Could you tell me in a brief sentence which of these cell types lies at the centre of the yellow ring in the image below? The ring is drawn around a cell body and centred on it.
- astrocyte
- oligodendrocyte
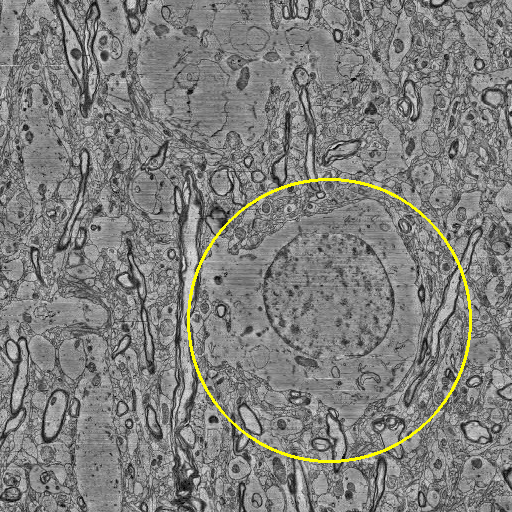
The cell centred in the ring is an astrocyte.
